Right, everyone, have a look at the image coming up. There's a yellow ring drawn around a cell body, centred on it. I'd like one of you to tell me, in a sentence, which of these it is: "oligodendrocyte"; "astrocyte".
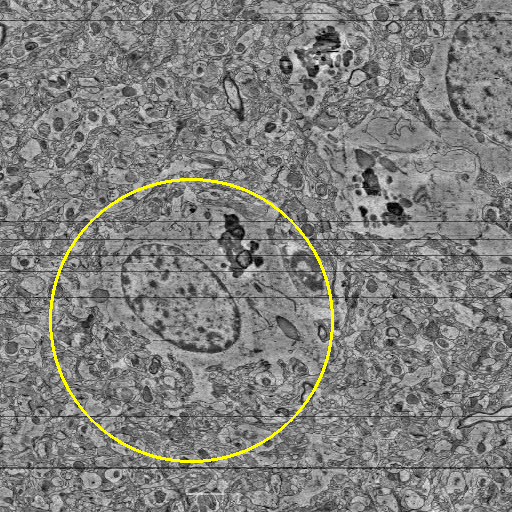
The yellow ring sits on an astrocyte.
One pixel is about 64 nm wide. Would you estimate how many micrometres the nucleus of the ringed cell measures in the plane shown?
Roughly 9 by 6 micrometres in this plane, for the nucleus of the ringed cell.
